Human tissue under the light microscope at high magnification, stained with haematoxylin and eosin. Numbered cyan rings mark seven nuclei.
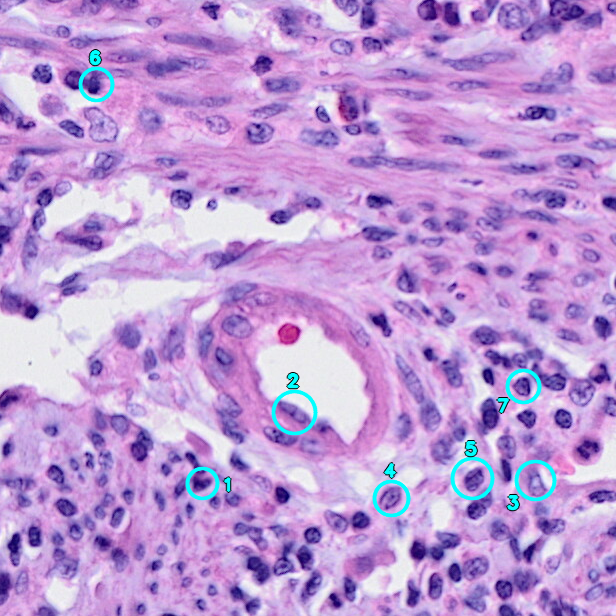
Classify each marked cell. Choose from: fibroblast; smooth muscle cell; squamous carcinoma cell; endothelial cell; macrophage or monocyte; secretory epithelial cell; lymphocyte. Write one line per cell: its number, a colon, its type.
1: lymphocyte
2: endothelial cell
3: endothelial cell
4: macrophage or monocyte
5: lymphocyte
6: lymphocyte
7: lymphocyte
